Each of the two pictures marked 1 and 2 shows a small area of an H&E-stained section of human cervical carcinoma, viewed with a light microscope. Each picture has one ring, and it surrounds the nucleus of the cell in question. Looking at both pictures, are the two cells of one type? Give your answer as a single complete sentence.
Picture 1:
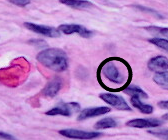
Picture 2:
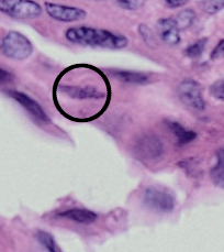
No, picture 1 shows an endothelial cell and picture 2 shows a squamous carcinoma cell.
